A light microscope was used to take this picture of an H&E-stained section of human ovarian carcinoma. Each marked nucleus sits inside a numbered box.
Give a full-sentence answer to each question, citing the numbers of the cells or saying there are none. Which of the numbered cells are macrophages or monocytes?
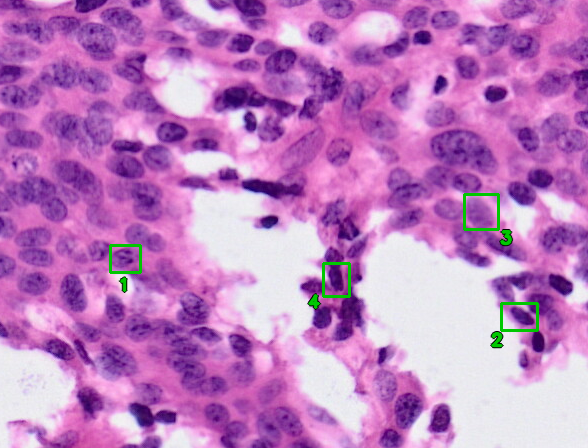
Cell 1 is a macrophage or monocyte, and this holds for no other numbered cell.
